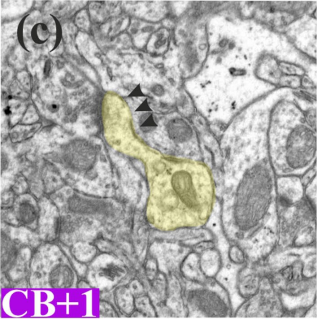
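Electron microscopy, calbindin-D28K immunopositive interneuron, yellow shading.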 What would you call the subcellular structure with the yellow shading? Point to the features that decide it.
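Dendrites. The yellow profile is an elongated process containing a mitochondrion. It is surrounded by neuropil of small profiles.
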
